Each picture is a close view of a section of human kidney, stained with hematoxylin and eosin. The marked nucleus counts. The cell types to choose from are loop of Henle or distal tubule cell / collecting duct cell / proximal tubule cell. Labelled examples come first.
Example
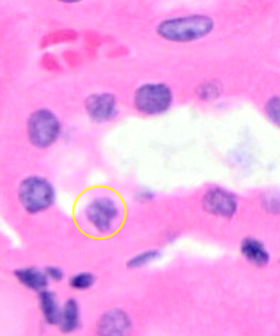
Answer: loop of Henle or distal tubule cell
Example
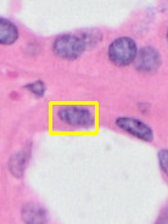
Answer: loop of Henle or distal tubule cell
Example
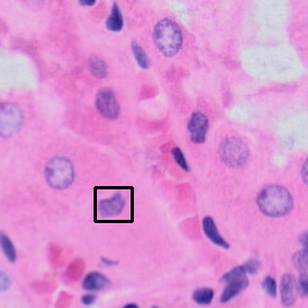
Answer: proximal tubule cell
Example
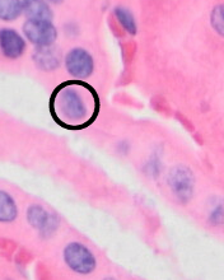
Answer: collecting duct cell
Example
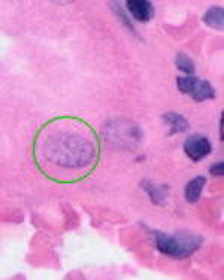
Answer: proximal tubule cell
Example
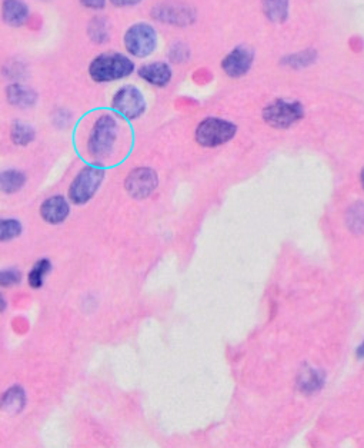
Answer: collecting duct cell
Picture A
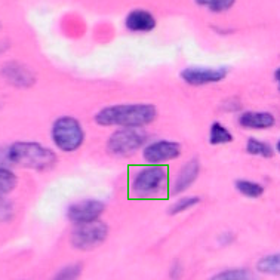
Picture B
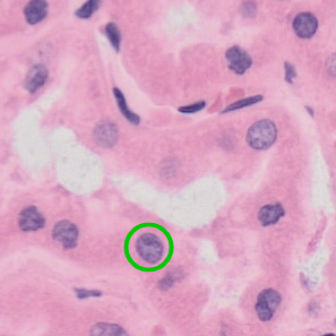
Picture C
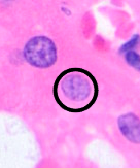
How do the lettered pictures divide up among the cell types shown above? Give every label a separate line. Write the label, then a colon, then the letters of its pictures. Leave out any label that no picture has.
collecting duct cell: A
proximal tubule cell: B, C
